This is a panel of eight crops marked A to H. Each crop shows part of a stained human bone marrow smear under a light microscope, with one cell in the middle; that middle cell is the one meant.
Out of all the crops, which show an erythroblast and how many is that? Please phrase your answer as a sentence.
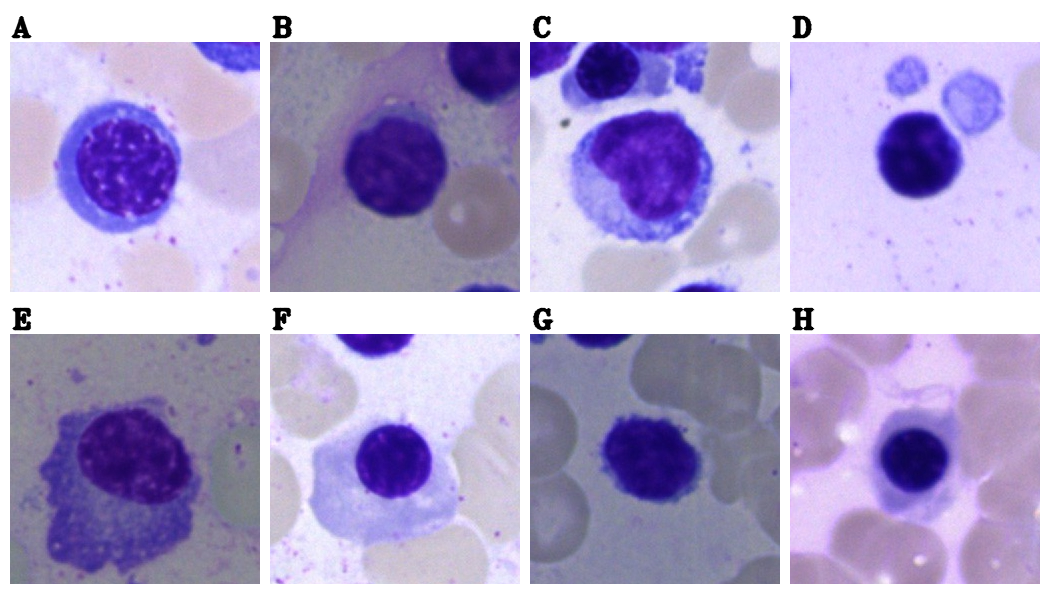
The central cells of crops A, F and H are erythroblasts, so three crops show them.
